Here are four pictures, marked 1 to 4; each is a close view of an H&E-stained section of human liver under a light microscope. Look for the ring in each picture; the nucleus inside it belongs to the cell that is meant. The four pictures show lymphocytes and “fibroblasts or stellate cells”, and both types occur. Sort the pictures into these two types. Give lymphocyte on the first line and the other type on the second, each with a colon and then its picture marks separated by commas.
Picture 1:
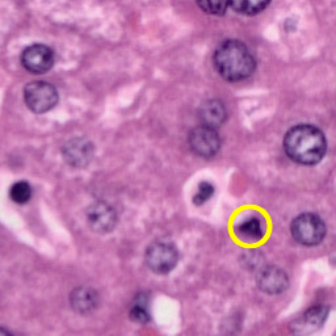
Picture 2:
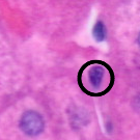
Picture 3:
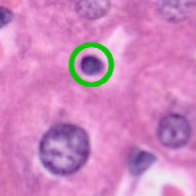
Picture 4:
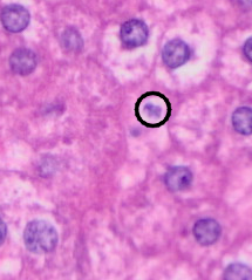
lymphocyte: 2, 3, 4
fibroblast or stellate cell: 1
